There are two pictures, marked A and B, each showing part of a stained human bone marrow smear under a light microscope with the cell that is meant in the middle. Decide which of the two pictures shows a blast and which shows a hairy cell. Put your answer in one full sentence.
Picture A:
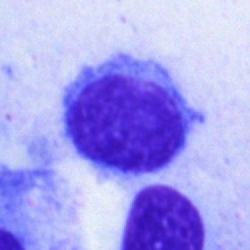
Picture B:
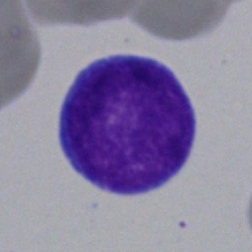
Picture B shows a blast, while picture A shows a hairy cell.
